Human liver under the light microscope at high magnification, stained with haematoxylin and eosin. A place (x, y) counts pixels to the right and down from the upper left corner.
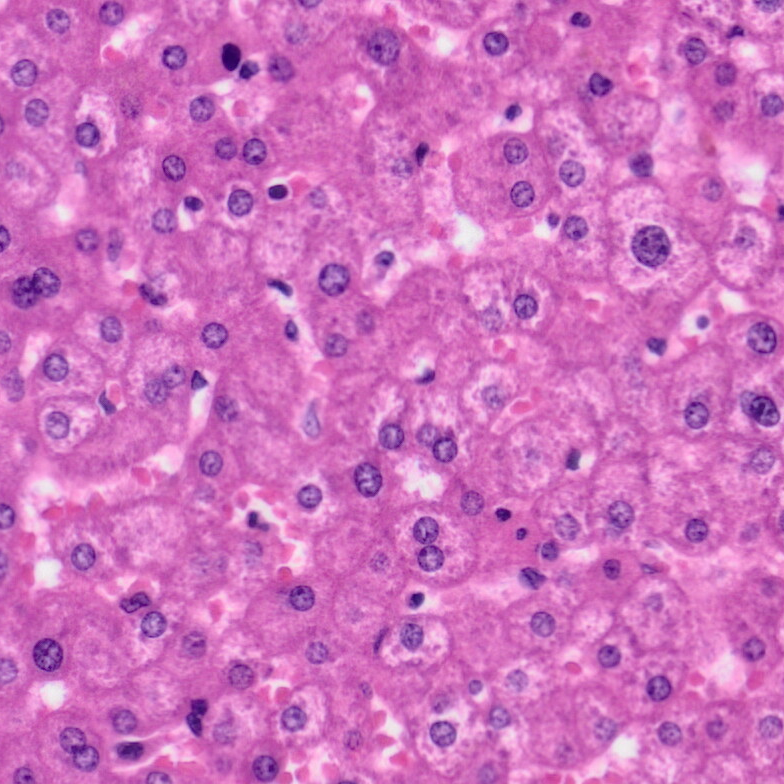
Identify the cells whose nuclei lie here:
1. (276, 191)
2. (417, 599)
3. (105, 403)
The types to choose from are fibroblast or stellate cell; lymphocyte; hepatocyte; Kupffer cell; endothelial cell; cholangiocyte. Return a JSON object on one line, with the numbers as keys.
{"1": "lymphocyte", "2": "lymphocyte", "3": "endothelial cell"}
